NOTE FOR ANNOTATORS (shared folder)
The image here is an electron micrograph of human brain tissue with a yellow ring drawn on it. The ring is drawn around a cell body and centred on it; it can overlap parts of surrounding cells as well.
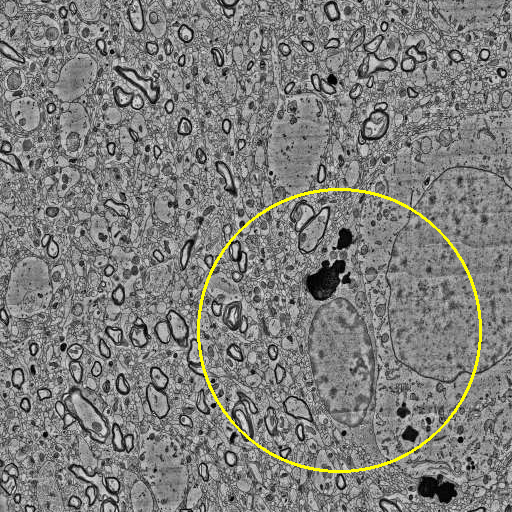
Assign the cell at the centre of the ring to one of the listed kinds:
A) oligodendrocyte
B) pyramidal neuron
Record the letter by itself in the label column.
A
